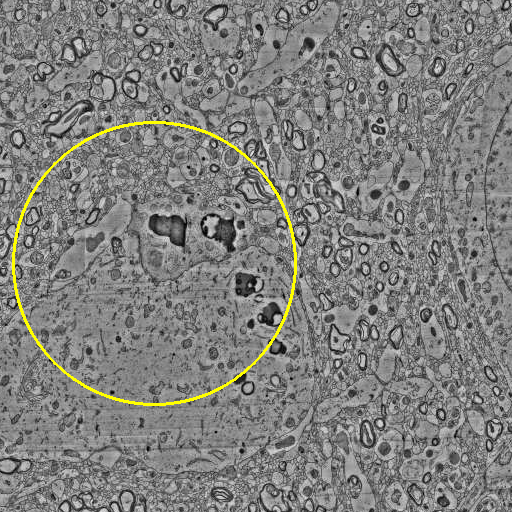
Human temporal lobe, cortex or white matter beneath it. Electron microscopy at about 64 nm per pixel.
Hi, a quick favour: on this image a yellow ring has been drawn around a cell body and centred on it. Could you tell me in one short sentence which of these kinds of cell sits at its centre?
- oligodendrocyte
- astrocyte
The ring is centred on an oligodendrocyte.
